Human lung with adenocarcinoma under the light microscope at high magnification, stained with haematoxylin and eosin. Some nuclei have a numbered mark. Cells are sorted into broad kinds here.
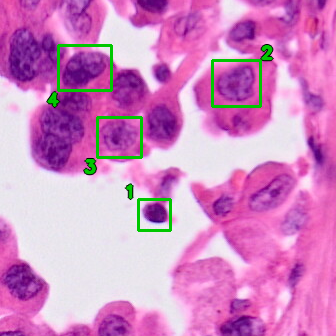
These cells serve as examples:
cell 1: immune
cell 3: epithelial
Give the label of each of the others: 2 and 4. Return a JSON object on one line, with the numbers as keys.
{"2": "epithelial", "4": "epithelial"}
